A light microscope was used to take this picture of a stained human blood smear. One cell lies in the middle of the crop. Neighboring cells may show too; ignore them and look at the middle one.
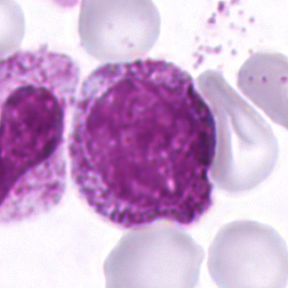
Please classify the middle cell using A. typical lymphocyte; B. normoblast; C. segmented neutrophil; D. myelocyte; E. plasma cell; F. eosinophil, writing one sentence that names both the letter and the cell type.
The middle of the crop contains a myelocyte, so option D is right.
